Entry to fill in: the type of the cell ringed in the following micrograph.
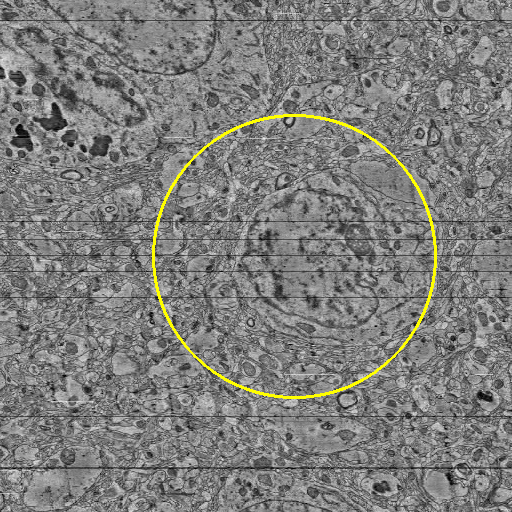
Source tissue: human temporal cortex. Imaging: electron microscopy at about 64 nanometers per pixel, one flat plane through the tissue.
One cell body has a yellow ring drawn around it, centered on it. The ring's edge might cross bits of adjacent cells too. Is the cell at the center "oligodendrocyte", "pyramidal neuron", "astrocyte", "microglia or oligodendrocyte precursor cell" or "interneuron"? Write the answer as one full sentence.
This entry names an interneuron as the cell whose body lies at the ring's center.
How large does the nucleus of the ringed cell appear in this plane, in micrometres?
In this plane, approximately 10 by 8 micrometers.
